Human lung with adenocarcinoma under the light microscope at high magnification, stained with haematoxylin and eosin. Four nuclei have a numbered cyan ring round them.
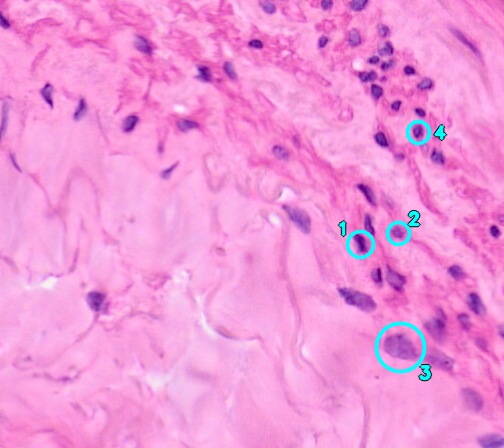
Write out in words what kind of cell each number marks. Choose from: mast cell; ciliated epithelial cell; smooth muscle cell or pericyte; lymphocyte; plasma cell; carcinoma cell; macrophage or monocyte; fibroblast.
Cell 1 is a smooth muscle cell or pericyte, cell 2 is a smooth muscle cell or pericyte, cell 3 is a fibroblast and cell 4 is a smooth muscle cell or pericyte.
